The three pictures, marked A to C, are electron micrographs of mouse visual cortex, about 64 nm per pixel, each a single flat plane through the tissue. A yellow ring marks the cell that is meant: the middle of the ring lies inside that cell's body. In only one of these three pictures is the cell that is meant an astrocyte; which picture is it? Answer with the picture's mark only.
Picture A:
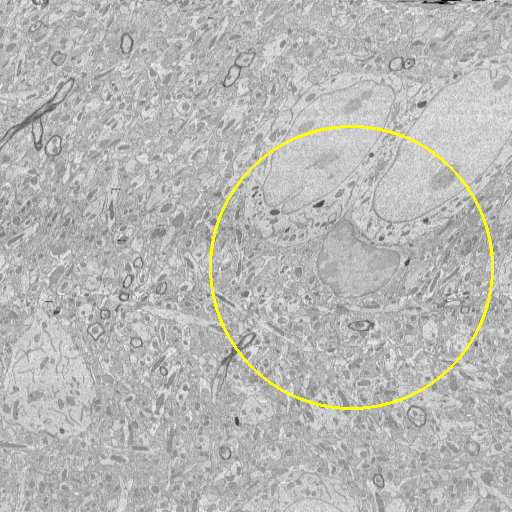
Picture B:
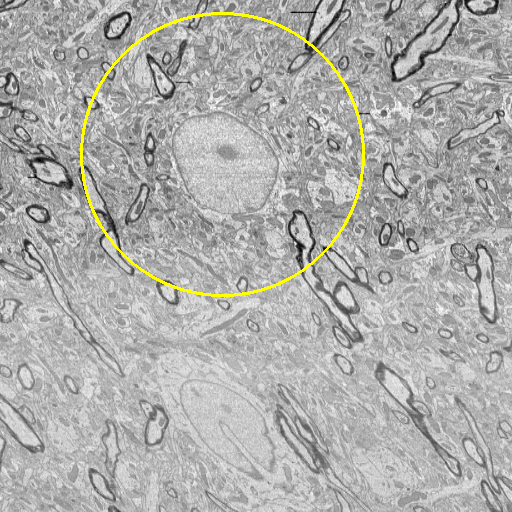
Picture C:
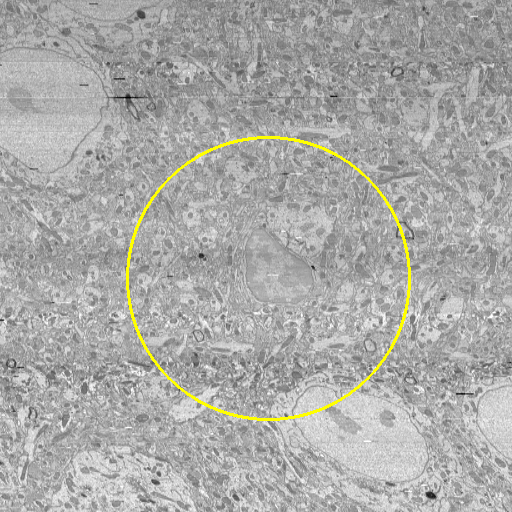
B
